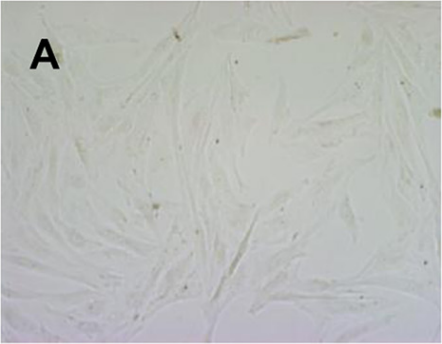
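The cells are flattened and elongated, spindle-shaped, lying side by side and overlapping in loosely parallel streams that cover almost the whole field. Their outlines are faint and pale, and nuclei are hard to make out. Rounded, detached cells are very few.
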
